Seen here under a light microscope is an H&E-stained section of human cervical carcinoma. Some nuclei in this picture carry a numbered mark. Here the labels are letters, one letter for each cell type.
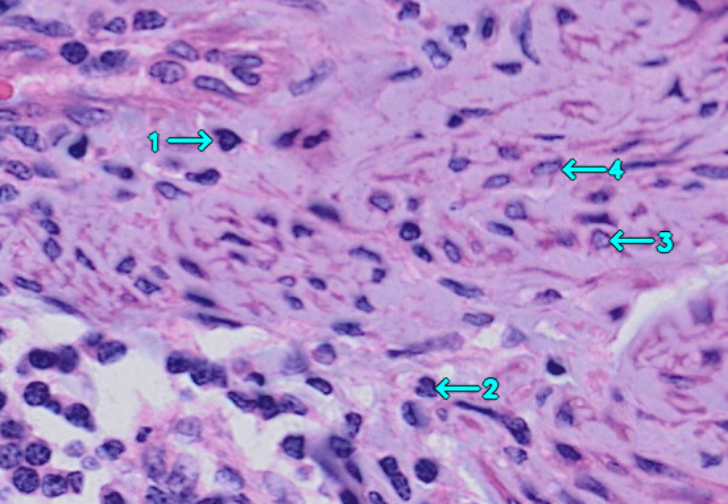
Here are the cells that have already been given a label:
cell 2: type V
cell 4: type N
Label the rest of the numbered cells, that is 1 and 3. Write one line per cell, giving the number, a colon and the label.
1: type V
3: type N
